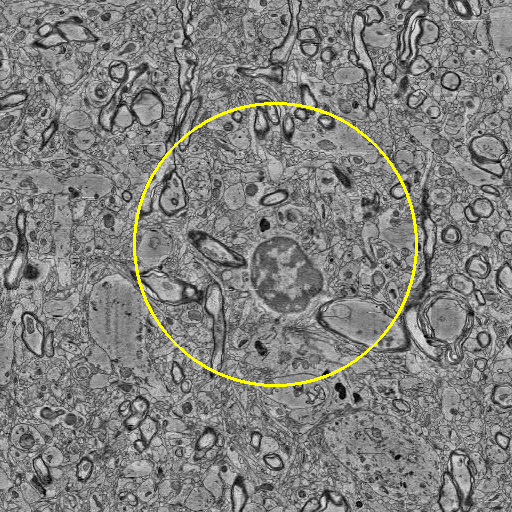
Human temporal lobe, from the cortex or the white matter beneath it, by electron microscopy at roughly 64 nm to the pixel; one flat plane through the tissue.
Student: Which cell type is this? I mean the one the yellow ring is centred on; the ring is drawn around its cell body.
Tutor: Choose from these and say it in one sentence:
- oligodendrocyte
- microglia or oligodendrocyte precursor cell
The cell the ring is centred on is a microglial cell or oligodendrocyte precursor cell.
